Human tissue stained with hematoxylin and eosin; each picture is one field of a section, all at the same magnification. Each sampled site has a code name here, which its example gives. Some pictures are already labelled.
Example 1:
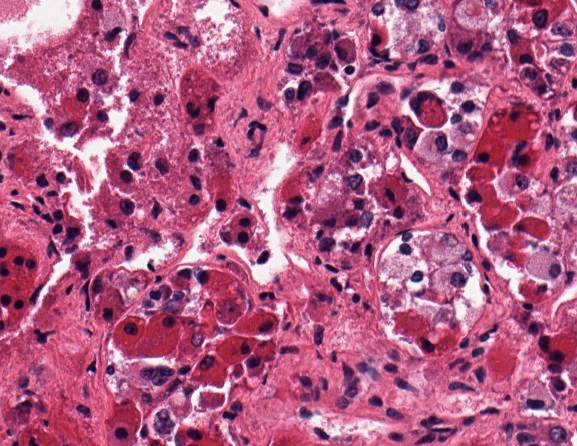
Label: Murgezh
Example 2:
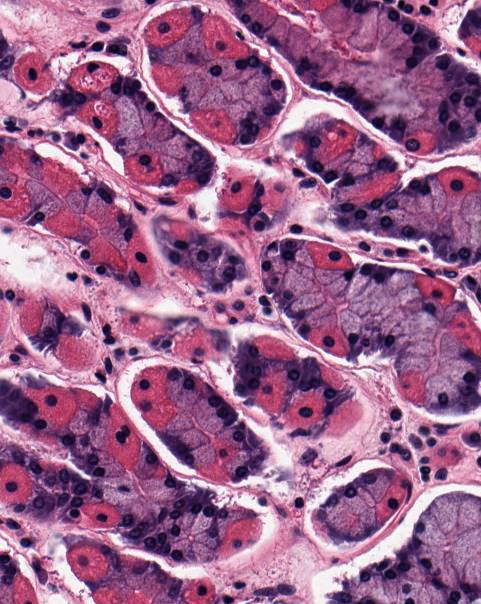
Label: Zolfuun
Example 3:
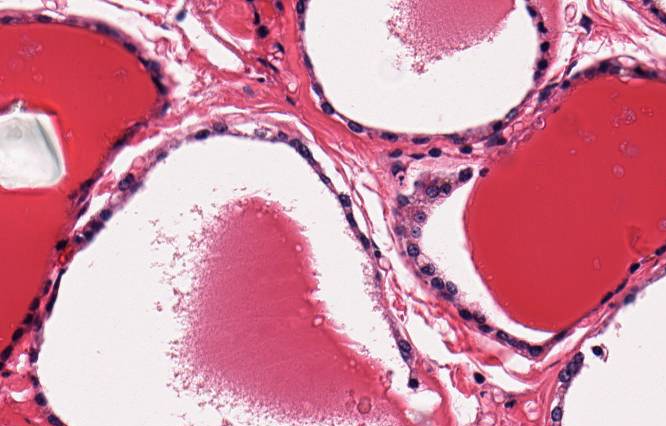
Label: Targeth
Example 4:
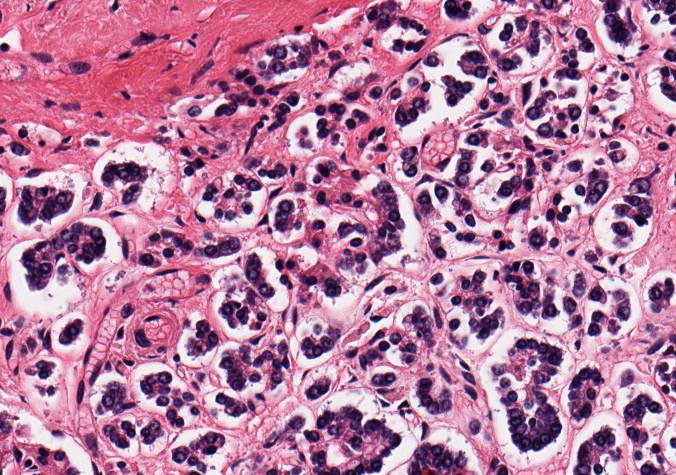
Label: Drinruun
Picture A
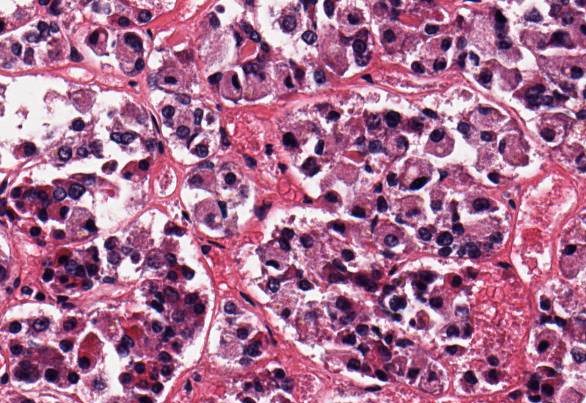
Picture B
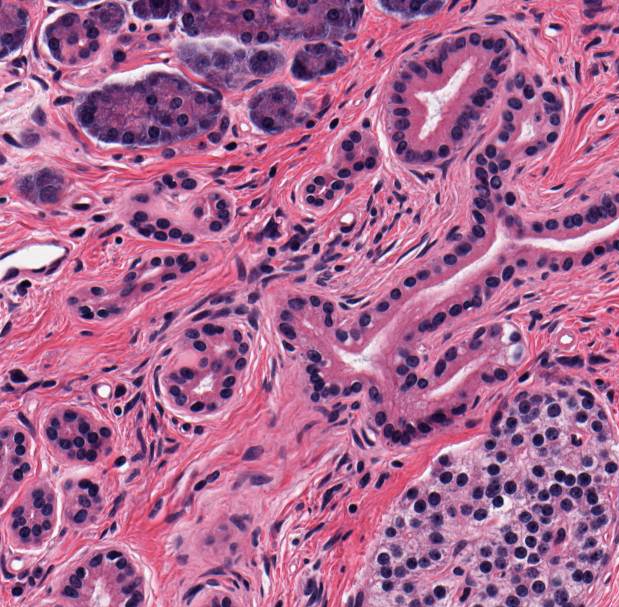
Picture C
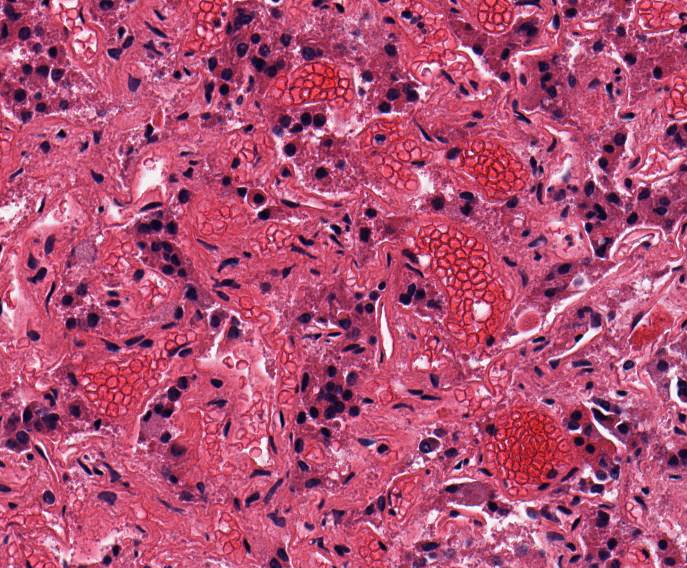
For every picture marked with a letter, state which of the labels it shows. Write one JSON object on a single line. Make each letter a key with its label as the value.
{"A": "Murgezh", "B": "Drinruun", "C": "Murgezh"}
